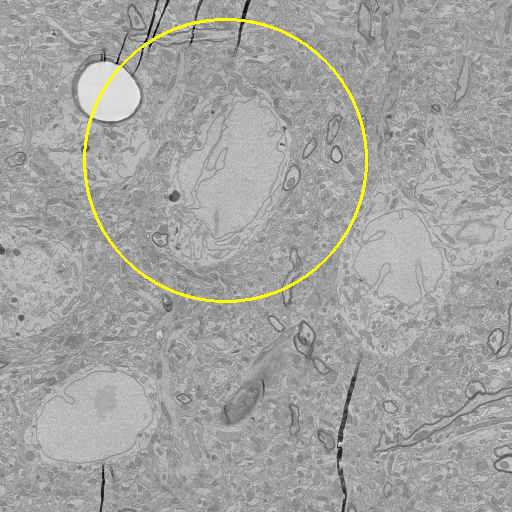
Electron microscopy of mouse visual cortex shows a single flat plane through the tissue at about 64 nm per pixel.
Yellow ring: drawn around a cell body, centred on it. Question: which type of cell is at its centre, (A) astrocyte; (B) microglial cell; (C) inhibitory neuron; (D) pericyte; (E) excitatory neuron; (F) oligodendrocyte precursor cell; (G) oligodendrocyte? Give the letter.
C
